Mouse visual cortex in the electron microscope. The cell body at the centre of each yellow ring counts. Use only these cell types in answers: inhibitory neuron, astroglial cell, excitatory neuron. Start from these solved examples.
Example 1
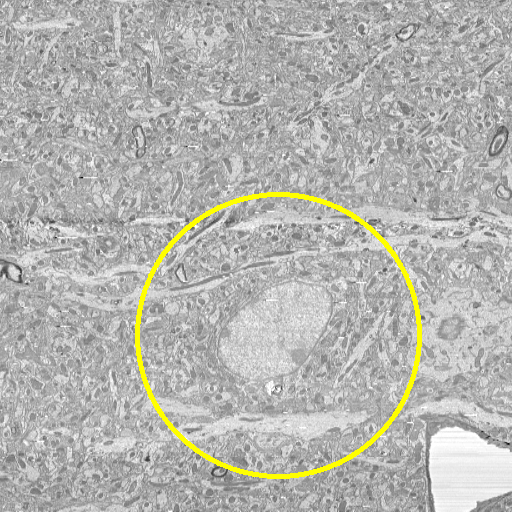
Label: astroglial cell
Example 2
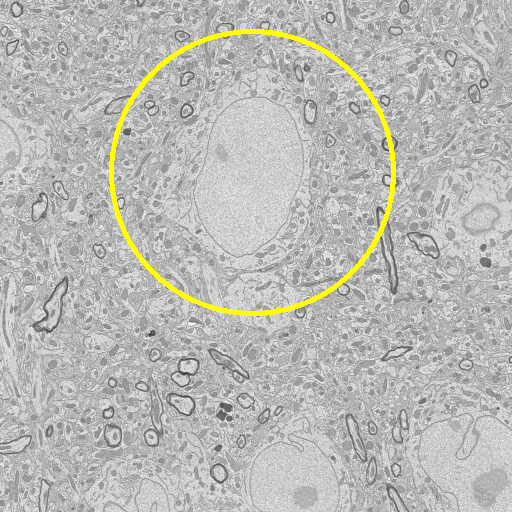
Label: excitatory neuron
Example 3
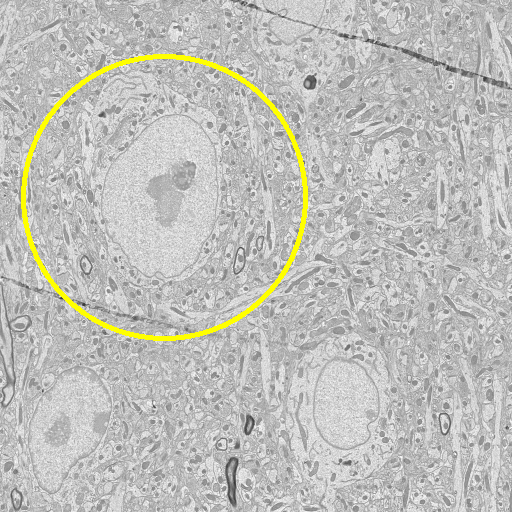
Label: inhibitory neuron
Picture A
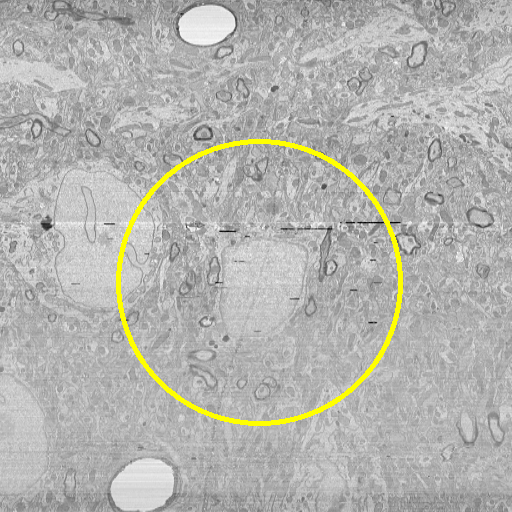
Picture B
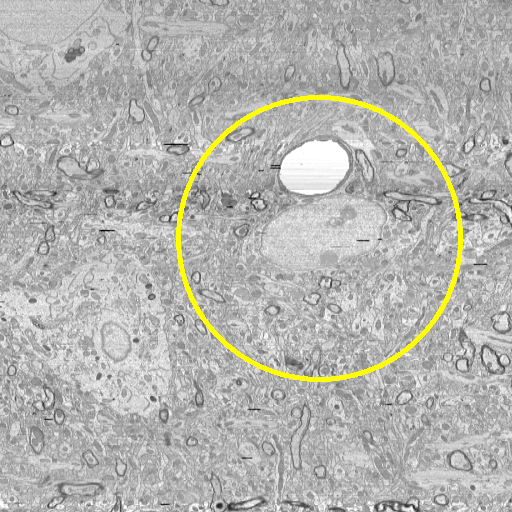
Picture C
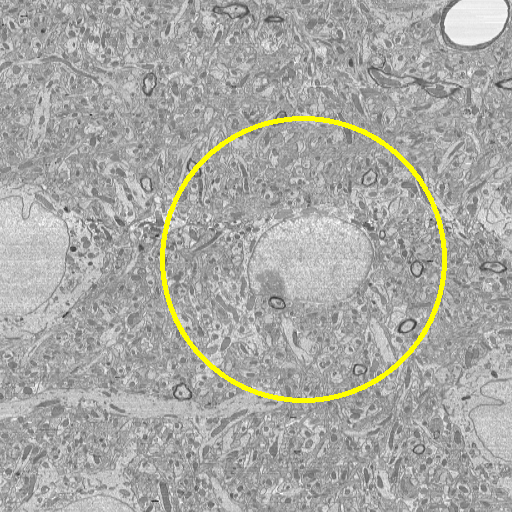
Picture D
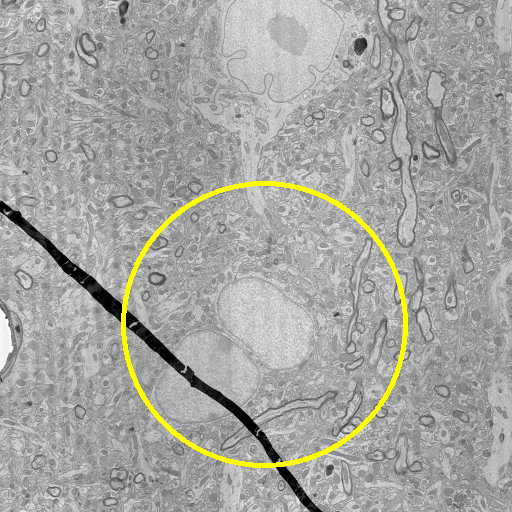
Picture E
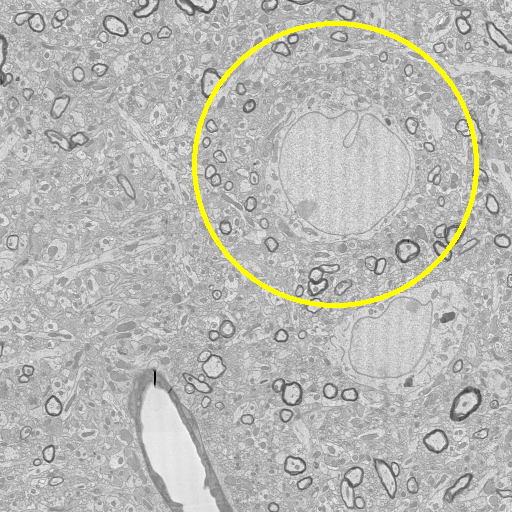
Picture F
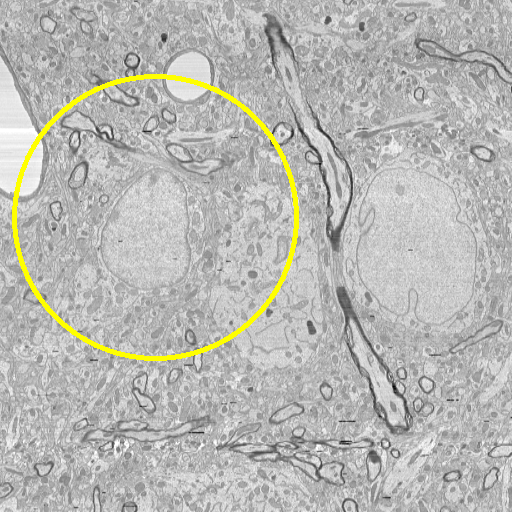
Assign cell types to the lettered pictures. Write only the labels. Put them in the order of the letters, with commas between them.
astroglial cell, astroglial cell, astroglial cell, astroglial cell, excitatory neuron, astroglial cell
